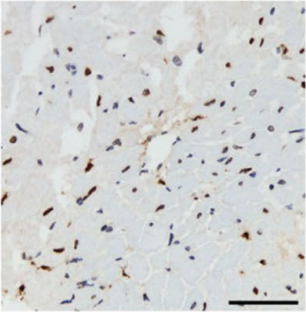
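This is heart muscle in which the cardiomyocytes are cut more obliquely, so the fibres appear as shorter pale blocks separated by thin clefts. Scattered throughout the field are many nuclei stained dark brown, small, dense and elongated, mixed among paler blue nuclei. A faint brown haze also lies along some of the spaces between fibres.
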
